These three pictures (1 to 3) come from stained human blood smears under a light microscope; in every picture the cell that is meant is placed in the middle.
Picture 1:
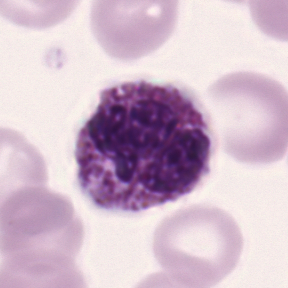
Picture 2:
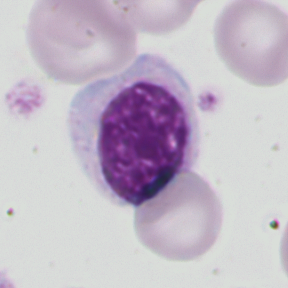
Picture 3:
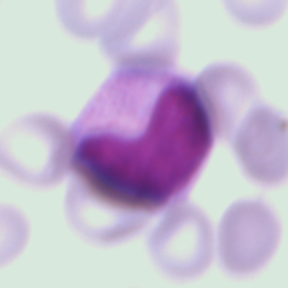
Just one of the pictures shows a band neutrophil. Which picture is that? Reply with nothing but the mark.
3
